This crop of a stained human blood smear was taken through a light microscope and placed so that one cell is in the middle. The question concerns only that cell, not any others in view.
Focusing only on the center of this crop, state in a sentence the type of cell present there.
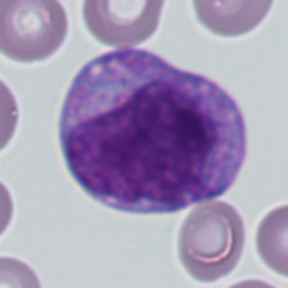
Centrally within this crop lies an atypical promyelocyte.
